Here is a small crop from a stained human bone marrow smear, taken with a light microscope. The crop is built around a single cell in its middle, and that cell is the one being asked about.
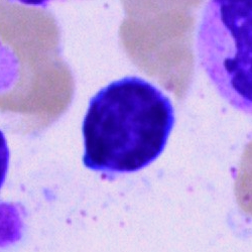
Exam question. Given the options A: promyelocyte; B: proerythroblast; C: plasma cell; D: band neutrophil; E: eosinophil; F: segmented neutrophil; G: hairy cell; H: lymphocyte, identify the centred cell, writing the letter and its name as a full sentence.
The one to choose is option H, as the cell in the middle is a lymphocyte.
